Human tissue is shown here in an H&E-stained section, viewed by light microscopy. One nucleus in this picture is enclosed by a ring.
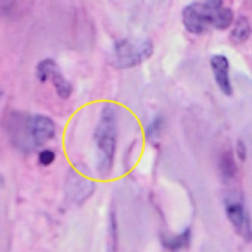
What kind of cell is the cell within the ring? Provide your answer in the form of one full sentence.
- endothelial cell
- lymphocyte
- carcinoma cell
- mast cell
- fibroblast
In this section of tissue, the cell within the ring is a fibroblast.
